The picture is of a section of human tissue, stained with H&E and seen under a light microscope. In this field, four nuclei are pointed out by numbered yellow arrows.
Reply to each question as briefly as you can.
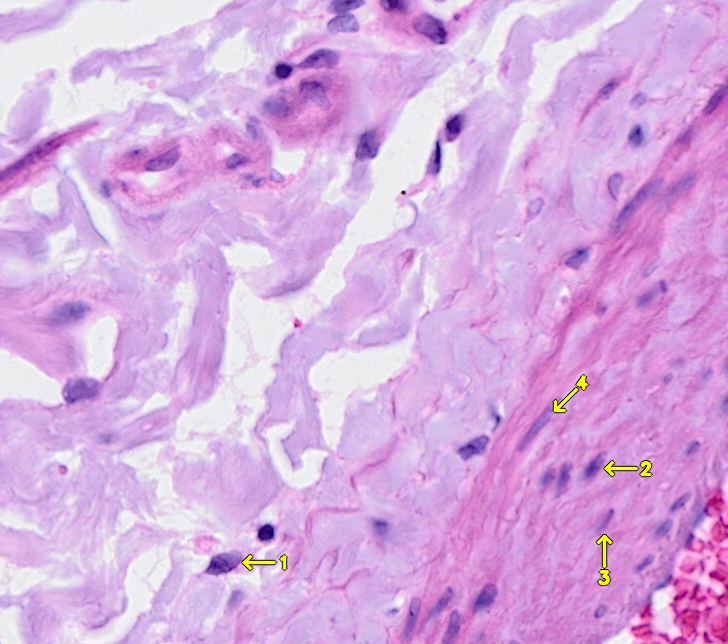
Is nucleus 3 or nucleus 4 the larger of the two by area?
4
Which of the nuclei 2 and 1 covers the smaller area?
2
